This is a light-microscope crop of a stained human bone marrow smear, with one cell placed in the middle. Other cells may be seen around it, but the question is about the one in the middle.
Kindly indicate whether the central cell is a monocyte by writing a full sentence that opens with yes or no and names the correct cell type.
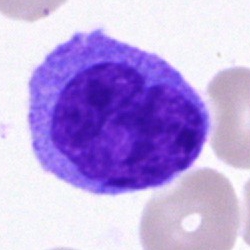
Yes, centred in the crop is a monocyte.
